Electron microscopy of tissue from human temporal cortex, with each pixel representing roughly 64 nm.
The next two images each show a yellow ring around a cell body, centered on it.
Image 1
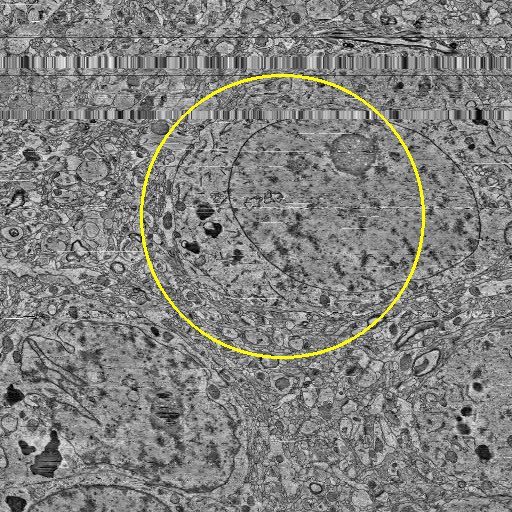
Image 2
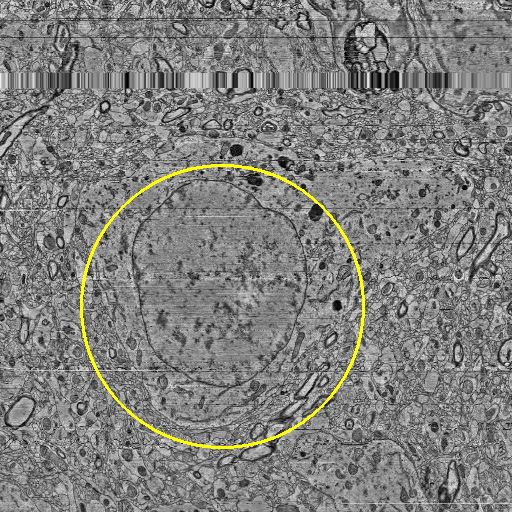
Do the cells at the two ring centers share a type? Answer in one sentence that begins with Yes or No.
Yes, across the two images the cells at the ring centers share one type.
